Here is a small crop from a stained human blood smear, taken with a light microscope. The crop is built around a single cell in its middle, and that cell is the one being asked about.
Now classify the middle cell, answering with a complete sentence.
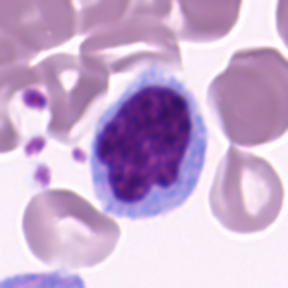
This particular crop is centered on a monocyte.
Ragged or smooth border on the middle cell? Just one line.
Edge check done: smooth outline, no projections present.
